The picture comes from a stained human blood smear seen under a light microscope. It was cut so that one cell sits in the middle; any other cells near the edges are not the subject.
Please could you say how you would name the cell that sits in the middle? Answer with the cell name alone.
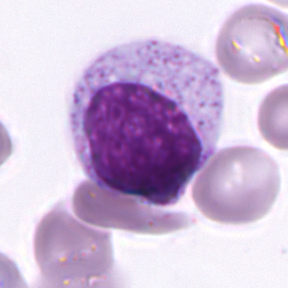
myelocyte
